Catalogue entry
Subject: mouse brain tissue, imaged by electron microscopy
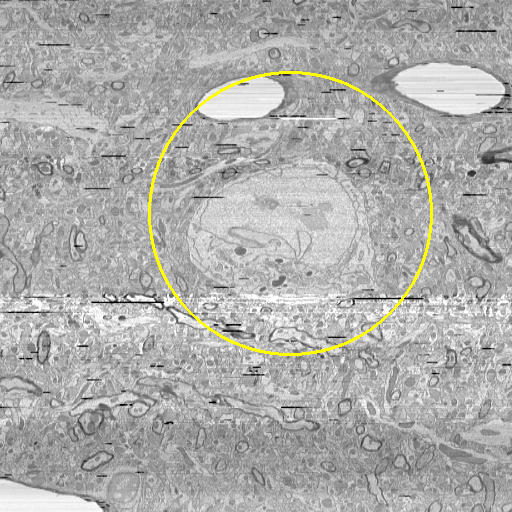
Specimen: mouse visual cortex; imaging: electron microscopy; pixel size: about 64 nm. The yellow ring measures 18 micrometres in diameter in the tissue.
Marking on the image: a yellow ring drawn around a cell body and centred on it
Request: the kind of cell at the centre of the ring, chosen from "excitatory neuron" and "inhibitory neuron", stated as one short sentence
The ring has an inhibitory neuron at its centre.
